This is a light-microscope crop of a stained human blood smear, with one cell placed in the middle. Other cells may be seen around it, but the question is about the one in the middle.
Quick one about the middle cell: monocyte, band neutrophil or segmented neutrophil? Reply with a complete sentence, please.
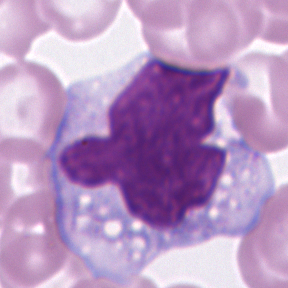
The central cell shown in this smear crop is a monocyte.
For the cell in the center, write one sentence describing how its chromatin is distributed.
Heads up, the chromatin is fine with no coarse clumps in it.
